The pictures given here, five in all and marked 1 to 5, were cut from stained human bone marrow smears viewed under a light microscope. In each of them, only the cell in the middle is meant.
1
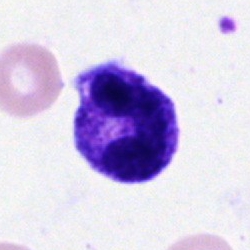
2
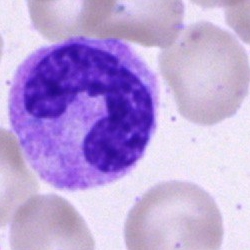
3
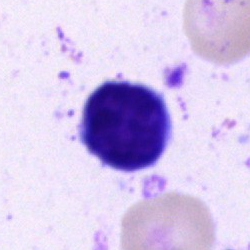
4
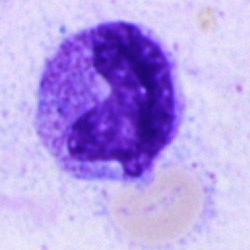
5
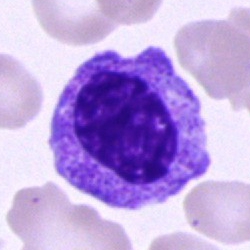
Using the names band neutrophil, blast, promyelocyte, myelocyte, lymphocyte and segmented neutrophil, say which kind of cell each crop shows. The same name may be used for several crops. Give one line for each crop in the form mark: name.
1: segmented neutrophil
2: band neutrophil
3: lymphocyte
4: band neutrophil
5: myelocyte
